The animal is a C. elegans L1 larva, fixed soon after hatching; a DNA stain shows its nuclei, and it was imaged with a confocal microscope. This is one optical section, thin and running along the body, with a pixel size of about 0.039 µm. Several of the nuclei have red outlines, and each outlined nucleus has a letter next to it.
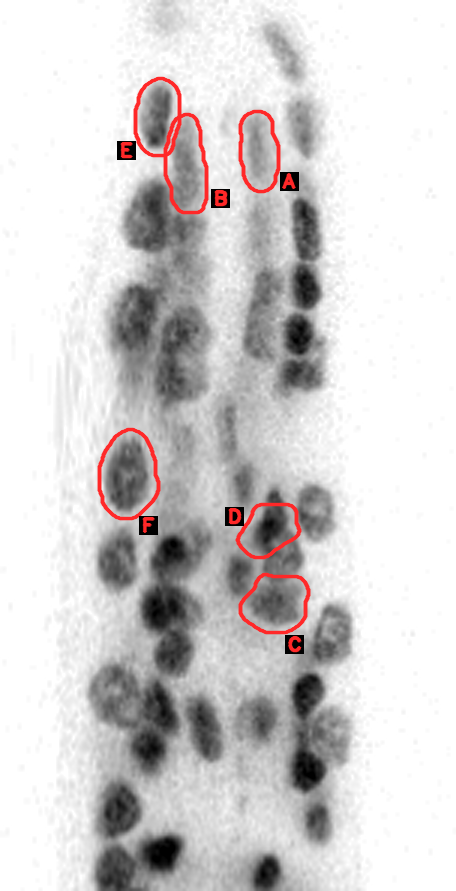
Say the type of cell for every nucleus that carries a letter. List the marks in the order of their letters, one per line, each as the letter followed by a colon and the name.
A: pharyngeal epithelial cell
B: pharyngeal epithelial cell
C: pharyngeal muscle cell
D: pharyngeal muscle cell
E: hypodermal cell (hyp)
F: hypodermal cell (hyp)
